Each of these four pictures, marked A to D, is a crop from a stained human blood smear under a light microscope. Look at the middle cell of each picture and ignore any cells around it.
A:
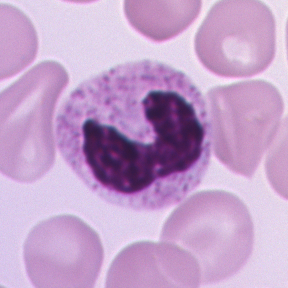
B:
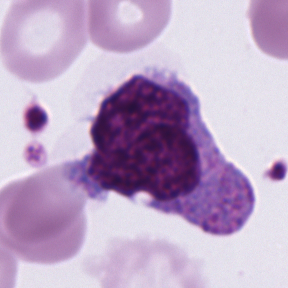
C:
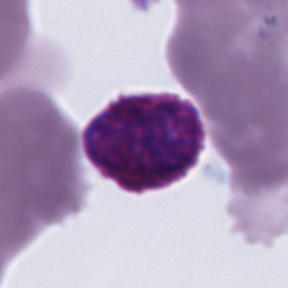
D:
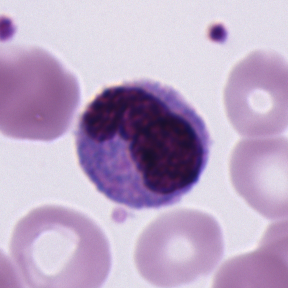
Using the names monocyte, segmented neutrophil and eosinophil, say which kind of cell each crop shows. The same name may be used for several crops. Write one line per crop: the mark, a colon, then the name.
A: segmented neutrophil
B: monocyte
C: eosinophil
D: monocyte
